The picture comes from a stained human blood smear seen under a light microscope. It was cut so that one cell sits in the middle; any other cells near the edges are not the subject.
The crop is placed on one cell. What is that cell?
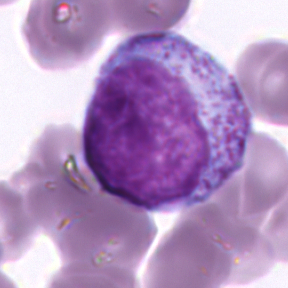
myelocyte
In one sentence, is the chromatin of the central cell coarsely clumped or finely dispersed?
The chromatin is fine throughout, without coarse clumps.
